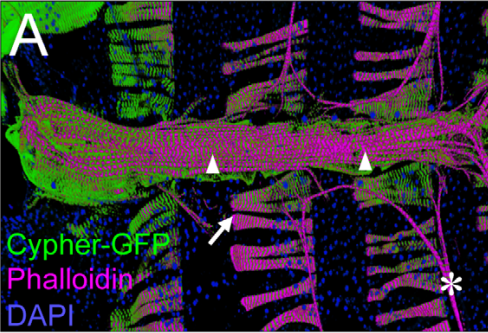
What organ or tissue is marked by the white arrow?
Abdominal muscles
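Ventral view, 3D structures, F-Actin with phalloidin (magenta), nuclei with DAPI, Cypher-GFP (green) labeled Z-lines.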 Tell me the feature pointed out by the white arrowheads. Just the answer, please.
non-myocardial longitudinal muscle fibers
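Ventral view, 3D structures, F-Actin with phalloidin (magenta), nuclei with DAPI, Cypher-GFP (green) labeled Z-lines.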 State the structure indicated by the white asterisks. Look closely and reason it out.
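Alary muscles. The asterisks sit on thin magenta fiber bundles that fan out sideways from the tube. These bundles run from the tube toward the body wall at the right end.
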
